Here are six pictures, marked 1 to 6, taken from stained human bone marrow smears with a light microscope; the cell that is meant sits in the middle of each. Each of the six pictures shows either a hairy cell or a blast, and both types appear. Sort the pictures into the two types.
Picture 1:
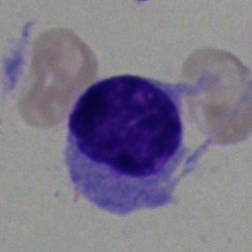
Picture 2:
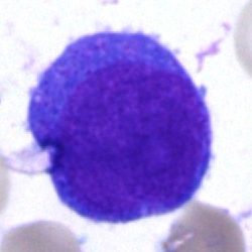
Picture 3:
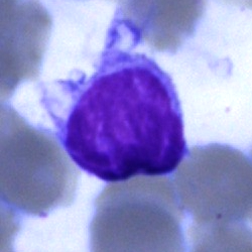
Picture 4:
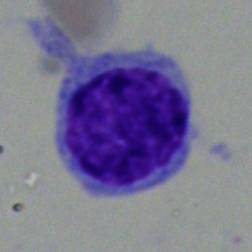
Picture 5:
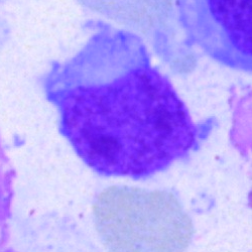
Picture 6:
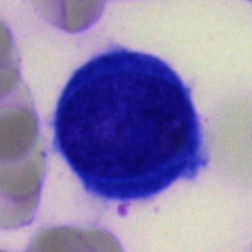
1: hairy cell
2: blast
3: hairy cell
4: hairy cell
5: hairy cell
6: blast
